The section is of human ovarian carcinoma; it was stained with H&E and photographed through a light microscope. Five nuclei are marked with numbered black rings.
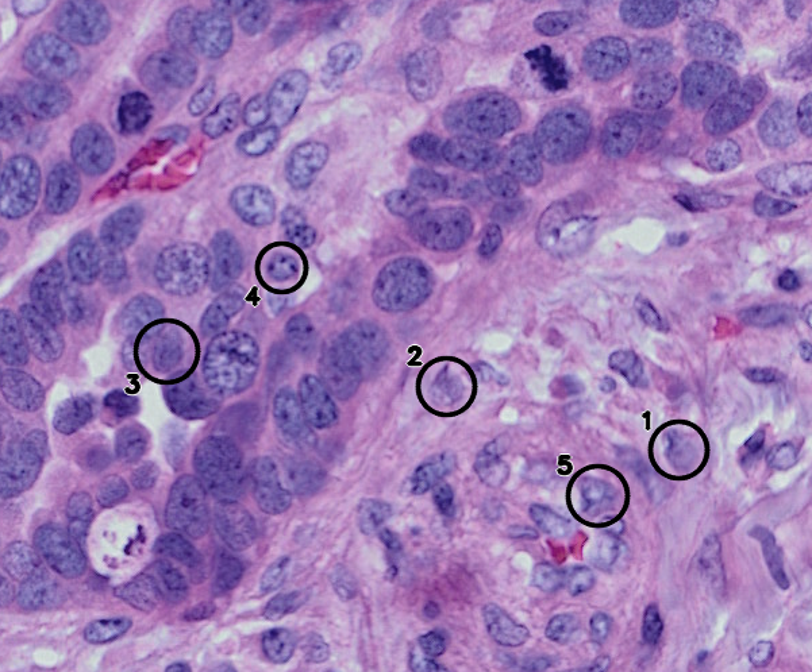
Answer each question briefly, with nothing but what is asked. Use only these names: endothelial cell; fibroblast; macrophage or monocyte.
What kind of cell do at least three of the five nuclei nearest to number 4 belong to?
macrophage or monocyte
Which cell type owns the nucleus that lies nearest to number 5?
endothelial cell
